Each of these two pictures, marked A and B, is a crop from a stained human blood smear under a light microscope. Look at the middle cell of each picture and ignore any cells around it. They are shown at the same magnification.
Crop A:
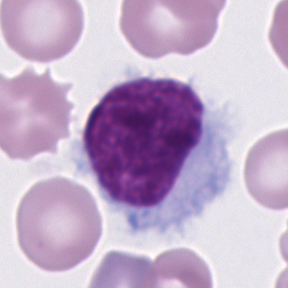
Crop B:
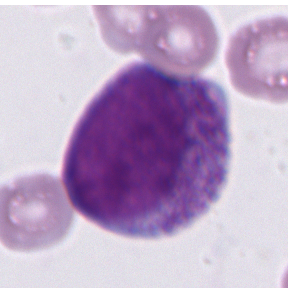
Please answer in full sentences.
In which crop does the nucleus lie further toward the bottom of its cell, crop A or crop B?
The nucleus in crop B lies further toward the bottom of its cell.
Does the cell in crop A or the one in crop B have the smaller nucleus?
The nucleus in crop A is smaller; the one in crop B has about 1.5 times its area.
